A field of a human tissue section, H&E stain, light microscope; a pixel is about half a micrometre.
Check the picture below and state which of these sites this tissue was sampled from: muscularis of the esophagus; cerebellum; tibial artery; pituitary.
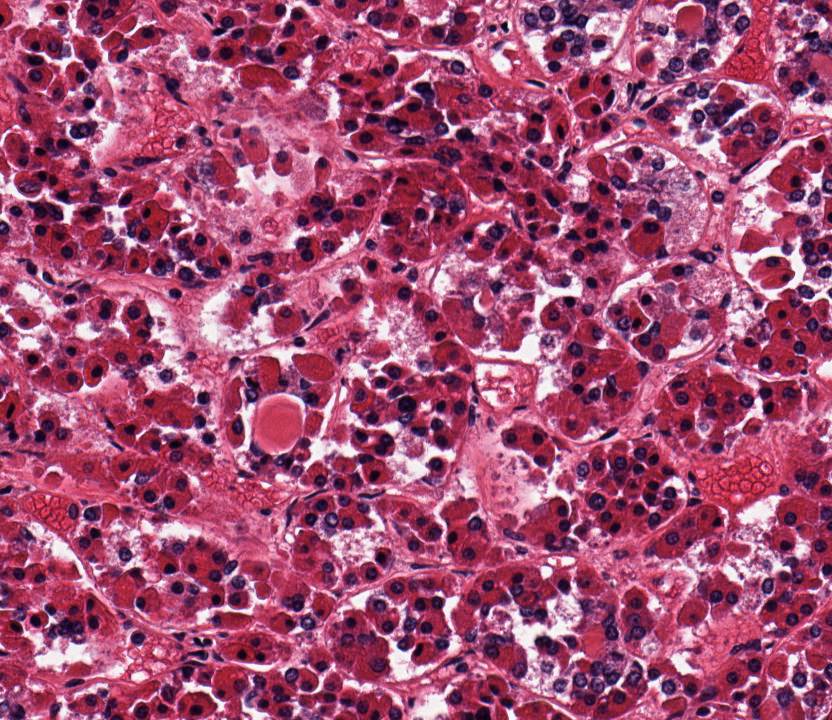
pituitary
